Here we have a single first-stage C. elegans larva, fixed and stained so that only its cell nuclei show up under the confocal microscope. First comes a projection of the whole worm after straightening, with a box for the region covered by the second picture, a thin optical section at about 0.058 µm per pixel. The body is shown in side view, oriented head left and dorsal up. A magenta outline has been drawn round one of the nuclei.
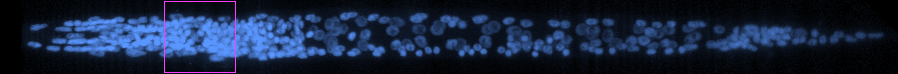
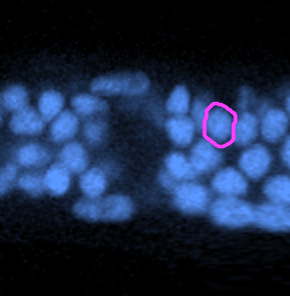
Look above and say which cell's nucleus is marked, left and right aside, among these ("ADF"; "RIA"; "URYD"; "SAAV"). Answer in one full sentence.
This is the nucleus of RIA, a neuron.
